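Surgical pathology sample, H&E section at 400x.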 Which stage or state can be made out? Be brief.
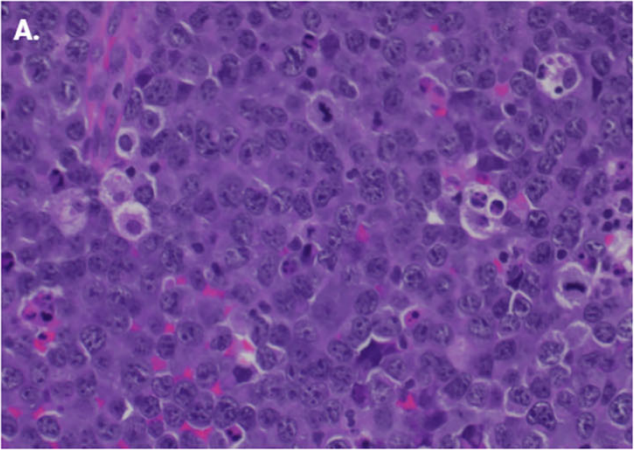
mitotic figures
